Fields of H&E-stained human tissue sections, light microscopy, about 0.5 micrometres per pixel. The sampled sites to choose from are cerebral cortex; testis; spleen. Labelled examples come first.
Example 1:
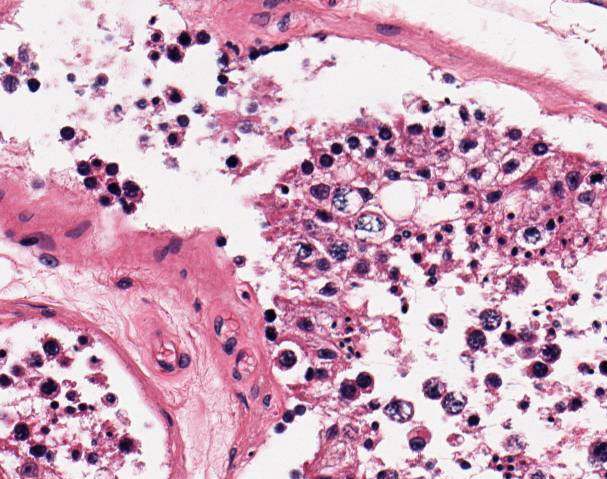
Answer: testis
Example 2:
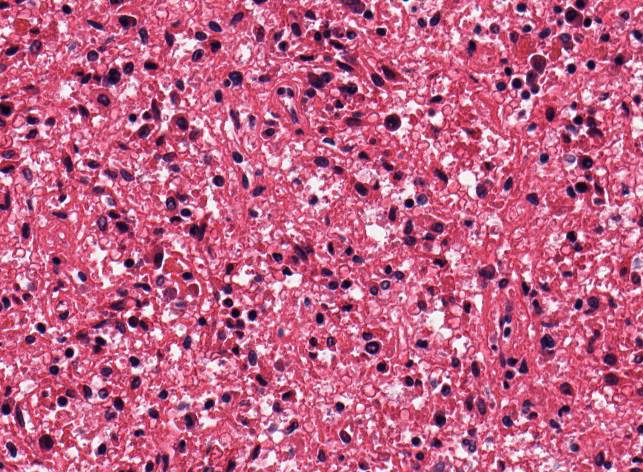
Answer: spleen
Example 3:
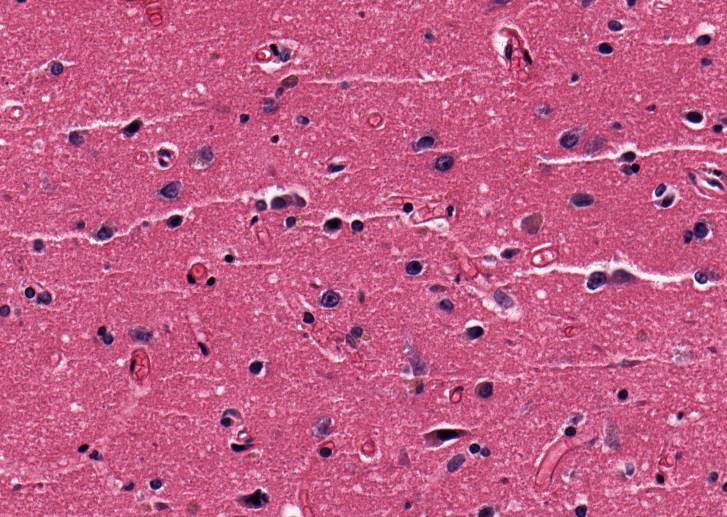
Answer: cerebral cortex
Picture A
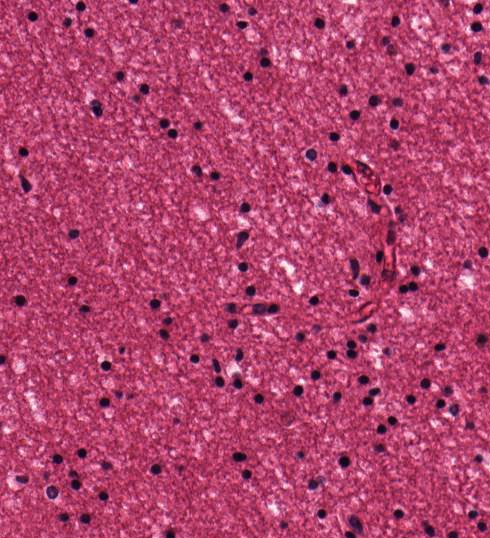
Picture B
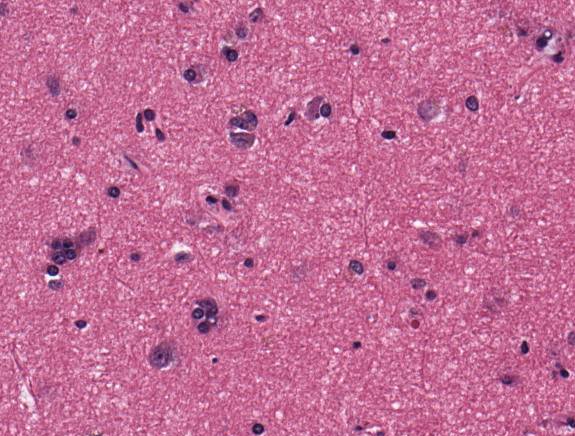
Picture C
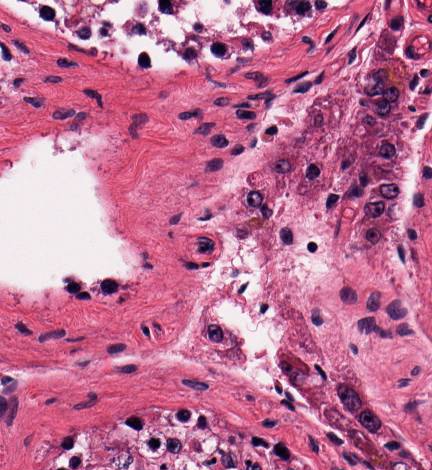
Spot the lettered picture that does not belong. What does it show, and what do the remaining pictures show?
C: testis; all the others: cerebral cortex.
